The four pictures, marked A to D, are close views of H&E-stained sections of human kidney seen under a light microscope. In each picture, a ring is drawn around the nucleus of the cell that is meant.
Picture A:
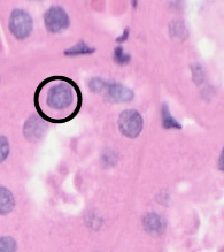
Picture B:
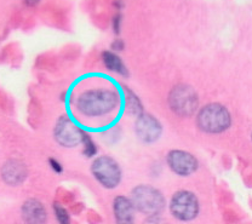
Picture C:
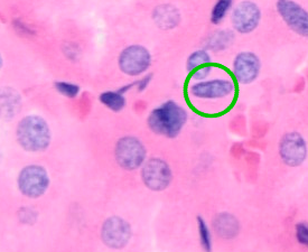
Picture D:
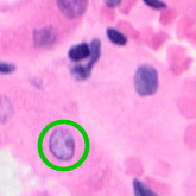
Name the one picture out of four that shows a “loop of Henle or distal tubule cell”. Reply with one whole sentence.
The picture with the “loop of Henle or distal tubule cell” is A.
